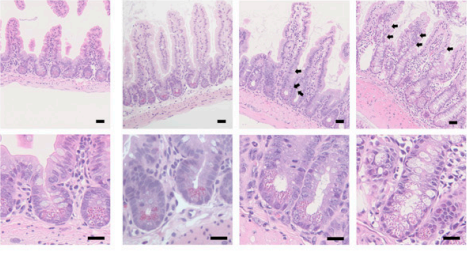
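Sections of small intestine stained pink and purple, with finger-like villi over short crypts above the muscle wall. At the crypt bases sit cells packed with bright pink-red granules.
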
